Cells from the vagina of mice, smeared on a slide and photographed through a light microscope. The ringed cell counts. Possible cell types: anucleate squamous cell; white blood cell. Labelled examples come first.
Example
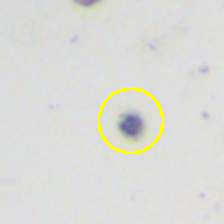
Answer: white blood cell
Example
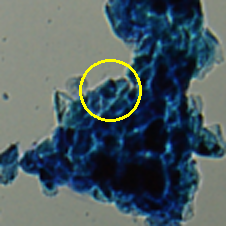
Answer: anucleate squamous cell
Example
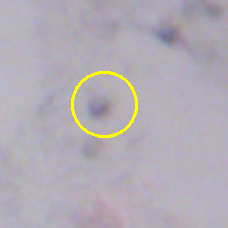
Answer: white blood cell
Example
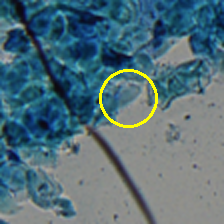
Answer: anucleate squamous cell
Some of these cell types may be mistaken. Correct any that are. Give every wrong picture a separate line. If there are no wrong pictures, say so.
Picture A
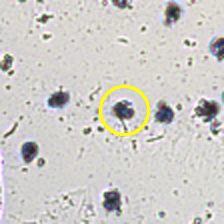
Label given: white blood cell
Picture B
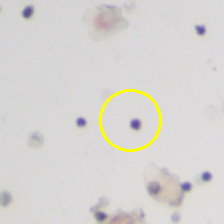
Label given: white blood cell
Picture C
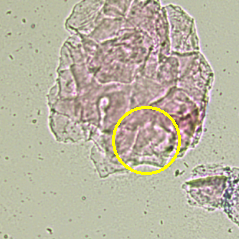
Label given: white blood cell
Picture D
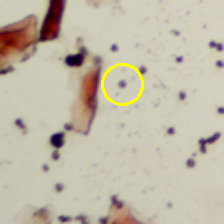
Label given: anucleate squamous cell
Wrong: C (white blood cell); correct: anucleate squamous cell
Wrong: D (anucleate squamous cell); correct: white blood cell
